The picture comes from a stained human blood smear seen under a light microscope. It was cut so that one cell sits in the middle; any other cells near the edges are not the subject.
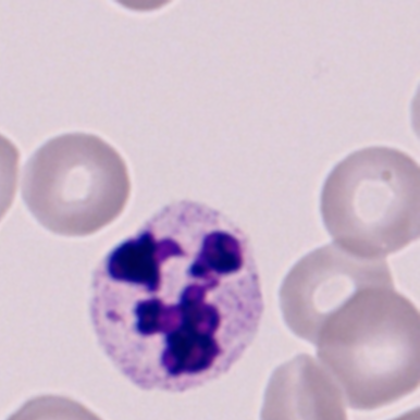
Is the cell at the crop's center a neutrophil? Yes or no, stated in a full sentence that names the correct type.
Yes, the cell that lies centrally is a neutrophil.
